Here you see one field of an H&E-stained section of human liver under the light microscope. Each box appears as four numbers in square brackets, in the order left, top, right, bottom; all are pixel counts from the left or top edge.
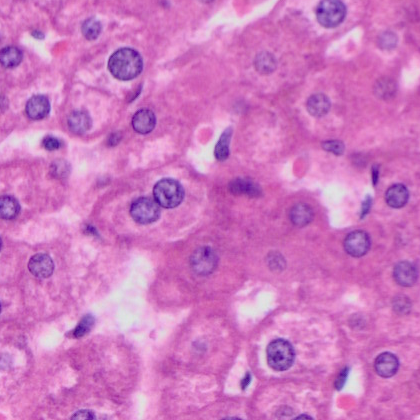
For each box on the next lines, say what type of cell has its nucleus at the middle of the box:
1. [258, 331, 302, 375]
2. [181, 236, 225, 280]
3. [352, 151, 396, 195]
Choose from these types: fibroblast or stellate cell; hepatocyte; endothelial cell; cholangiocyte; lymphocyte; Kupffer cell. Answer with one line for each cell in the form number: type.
1: hepatocyte
2: hepatocyte
3: fibroblast or stellate cell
